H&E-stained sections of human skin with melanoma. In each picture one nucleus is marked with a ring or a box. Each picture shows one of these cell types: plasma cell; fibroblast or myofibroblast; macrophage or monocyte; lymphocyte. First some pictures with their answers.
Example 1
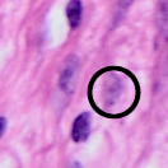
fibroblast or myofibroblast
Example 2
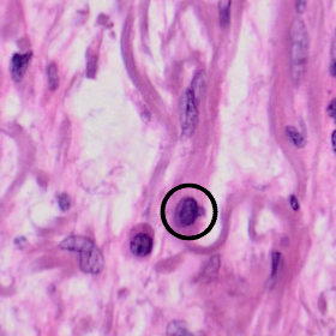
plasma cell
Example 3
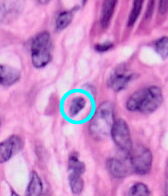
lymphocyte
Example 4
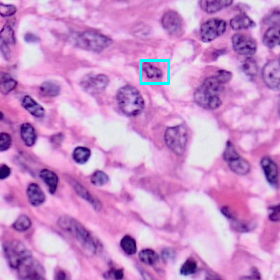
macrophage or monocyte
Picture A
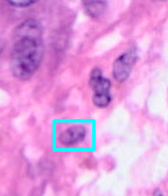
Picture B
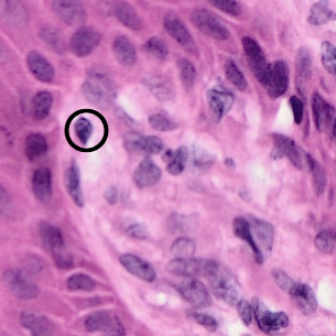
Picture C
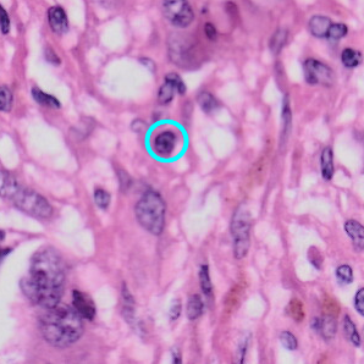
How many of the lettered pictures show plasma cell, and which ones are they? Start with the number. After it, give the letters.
Count: 1 (C)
